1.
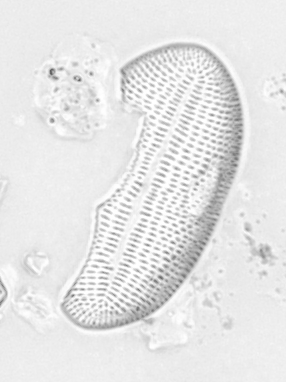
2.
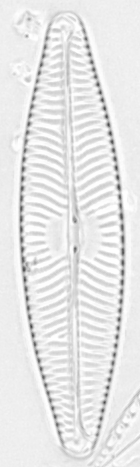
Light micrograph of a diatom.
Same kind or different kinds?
Different: the first is Cocconeis, the second Navicula.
